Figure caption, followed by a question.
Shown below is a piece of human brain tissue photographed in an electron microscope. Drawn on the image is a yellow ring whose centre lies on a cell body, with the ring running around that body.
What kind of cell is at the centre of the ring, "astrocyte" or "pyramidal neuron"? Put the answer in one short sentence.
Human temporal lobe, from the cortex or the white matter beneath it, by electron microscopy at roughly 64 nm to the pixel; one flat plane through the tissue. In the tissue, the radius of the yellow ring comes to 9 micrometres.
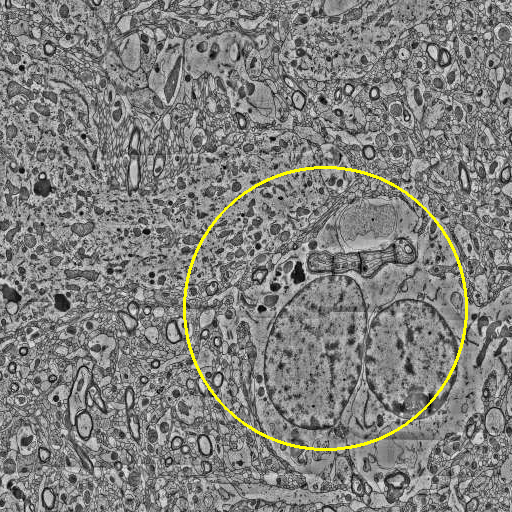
The ring marks the cell body of an astrocyte.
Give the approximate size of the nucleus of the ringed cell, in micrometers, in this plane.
Approximately 10 by 6 micrometers, which makes the nucleus clearly longer than it is wide in this plane.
